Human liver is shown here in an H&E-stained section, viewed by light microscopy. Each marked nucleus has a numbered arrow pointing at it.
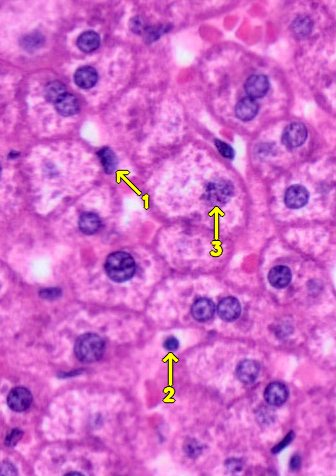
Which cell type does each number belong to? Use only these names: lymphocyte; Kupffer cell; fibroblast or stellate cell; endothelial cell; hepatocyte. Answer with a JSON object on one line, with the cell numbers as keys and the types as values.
{"1": "endothelial cell", "2": "lymphocyte", "3": "hepatocyte"}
